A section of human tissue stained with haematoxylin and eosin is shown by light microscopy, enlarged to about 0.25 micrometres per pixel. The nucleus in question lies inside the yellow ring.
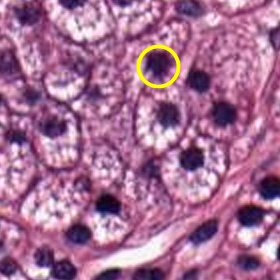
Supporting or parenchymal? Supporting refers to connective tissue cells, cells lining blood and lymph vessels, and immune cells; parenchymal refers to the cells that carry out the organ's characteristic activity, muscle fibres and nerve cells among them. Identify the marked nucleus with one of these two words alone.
parenchymal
